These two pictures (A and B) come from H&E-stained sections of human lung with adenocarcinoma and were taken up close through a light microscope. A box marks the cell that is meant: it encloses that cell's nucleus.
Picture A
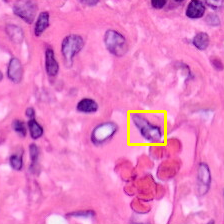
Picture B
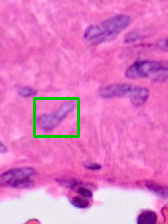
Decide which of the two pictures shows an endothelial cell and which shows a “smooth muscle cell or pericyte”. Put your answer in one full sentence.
Picture A shows an endothelial cell and picture B shows a “smooth muscle cell or pericyte”.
